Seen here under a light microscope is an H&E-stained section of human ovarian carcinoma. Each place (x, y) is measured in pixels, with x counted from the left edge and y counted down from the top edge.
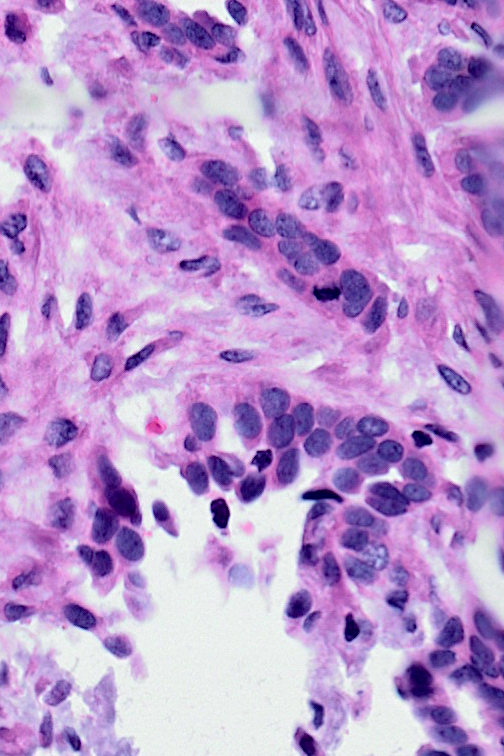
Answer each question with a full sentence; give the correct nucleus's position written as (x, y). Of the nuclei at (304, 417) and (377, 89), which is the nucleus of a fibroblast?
The nucleus at (377, 89) is the member of the pair belonging to a fibroblast.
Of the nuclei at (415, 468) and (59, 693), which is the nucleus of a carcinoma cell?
The nucleus lying at (415, 468) is the nucleus of a carcinoma cell.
